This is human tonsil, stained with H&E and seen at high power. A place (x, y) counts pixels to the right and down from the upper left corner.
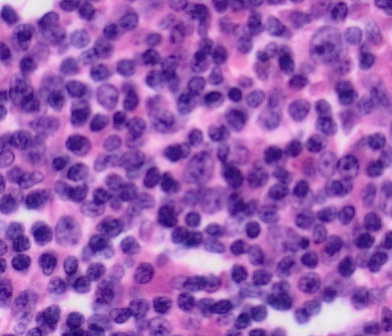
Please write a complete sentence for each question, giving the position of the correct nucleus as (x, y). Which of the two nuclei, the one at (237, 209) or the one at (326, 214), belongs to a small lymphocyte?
The member of the pair belonging to a small lymphocyte is the nucleus at (326, 214).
